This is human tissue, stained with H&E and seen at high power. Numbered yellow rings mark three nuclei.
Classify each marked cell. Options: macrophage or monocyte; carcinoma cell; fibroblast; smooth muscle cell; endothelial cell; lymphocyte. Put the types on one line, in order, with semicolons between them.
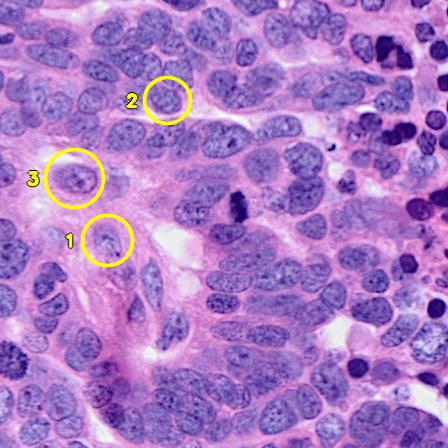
fibroblast; carcinoma cell; fibroblast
